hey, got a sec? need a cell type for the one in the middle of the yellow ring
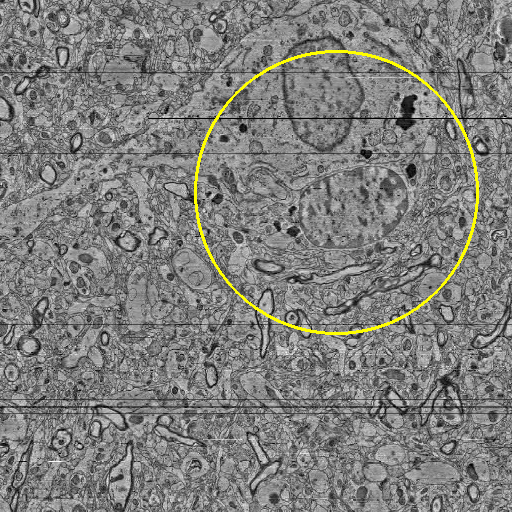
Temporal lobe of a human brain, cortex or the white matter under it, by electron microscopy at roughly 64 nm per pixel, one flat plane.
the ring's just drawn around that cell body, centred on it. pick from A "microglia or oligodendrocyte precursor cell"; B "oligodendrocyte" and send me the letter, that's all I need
A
